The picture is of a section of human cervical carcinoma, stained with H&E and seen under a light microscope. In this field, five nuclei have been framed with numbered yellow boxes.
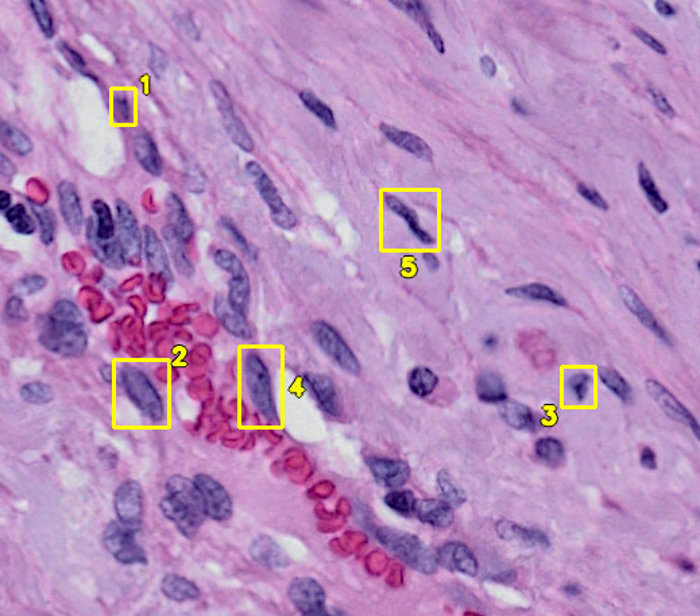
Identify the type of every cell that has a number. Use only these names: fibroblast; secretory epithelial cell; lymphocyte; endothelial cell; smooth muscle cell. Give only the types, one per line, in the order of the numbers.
endothelial cell
endothelial cell
fibroblast
endothelial cell
fibroblast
